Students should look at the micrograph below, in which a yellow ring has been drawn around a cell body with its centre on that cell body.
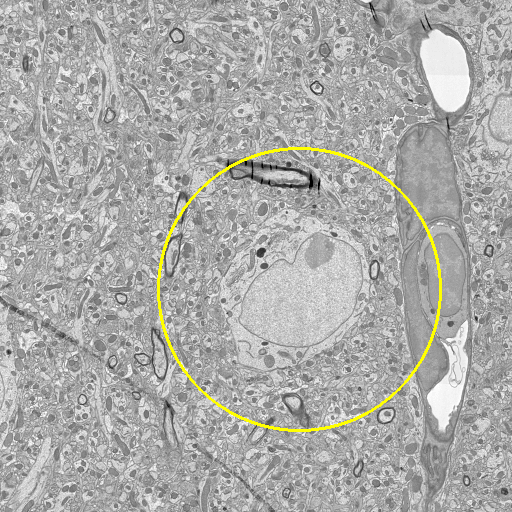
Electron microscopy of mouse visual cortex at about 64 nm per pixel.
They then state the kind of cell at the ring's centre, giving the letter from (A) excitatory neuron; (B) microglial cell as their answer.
A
